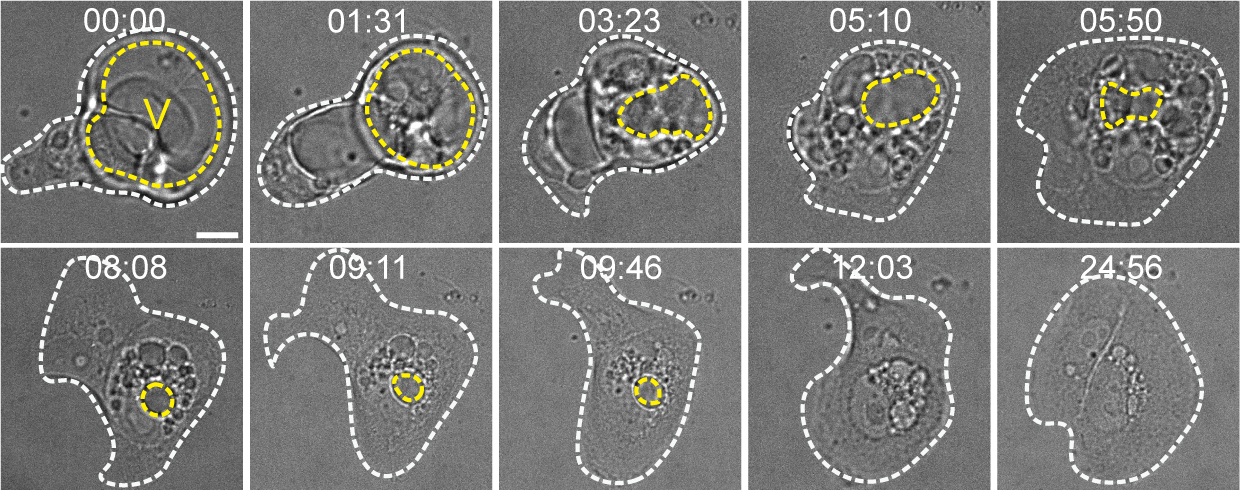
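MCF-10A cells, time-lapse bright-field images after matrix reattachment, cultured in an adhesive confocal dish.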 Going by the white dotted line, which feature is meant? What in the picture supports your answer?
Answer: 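The spread cell area. The white dotted line traces the outer edge of a single cell in each frame. The outlined area widens and flattens across the later frames.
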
